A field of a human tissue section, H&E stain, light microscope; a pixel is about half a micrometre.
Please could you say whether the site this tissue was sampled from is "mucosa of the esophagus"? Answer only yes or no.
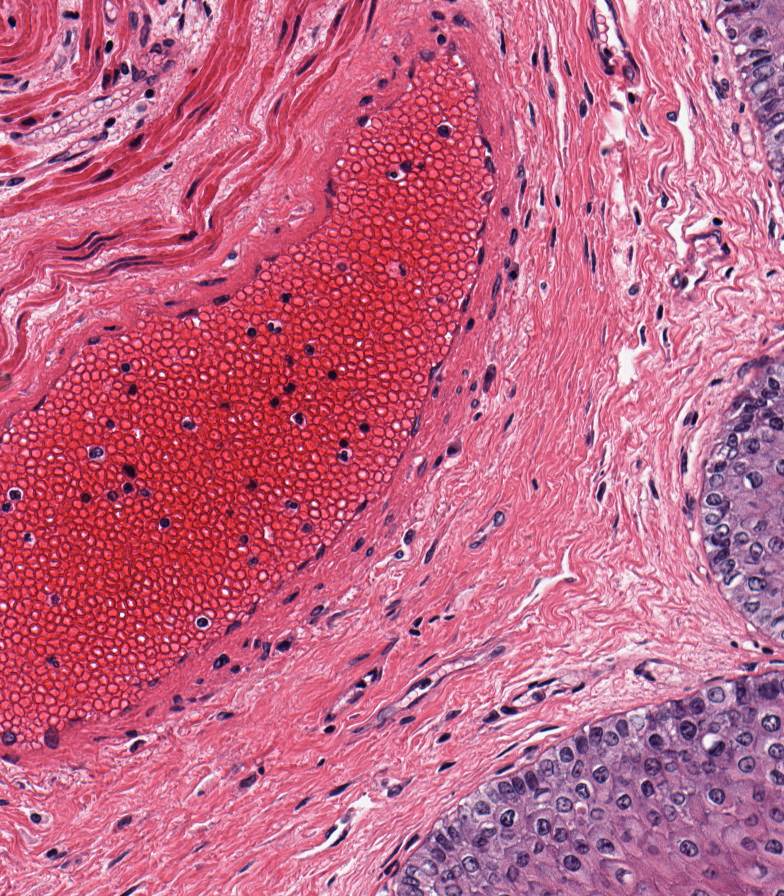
yes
